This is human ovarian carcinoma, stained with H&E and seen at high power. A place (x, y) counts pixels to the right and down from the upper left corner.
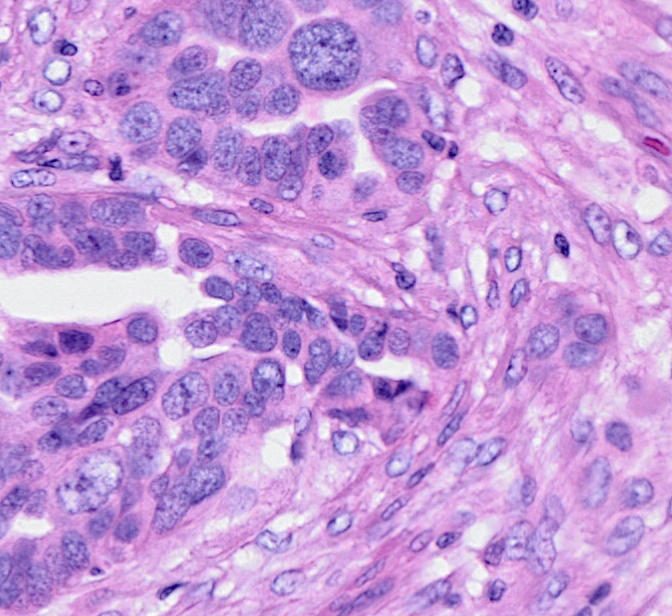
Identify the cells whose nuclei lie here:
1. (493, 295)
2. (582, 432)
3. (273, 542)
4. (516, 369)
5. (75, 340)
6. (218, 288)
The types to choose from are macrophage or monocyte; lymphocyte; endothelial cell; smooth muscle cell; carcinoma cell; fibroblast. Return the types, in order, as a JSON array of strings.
["fibroblast", "fibroblast", "fibroblast", "fibroblast", "carcinoma cell", "carcinoma cell"]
